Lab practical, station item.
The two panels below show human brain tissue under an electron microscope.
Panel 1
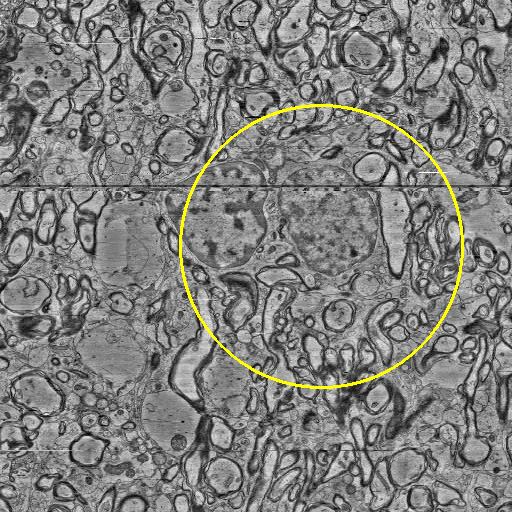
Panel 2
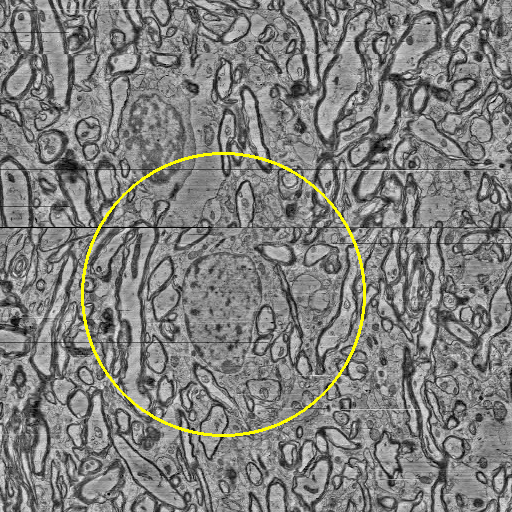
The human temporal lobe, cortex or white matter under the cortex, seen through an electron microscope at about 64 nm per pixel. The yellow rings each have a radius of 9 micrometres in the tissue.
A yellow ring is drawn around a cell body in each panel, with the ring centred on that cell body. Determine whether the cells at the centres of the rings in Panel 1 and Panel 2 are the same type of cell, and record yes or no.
no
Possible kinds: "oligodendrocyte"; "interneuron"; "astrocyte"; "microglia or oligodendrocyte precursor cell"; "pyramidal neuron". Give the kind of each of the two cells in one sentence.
The cell in the second picture is a microglial cell or oligodendrocyte precursor cell, and that in the first is an oligodendrocyte.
